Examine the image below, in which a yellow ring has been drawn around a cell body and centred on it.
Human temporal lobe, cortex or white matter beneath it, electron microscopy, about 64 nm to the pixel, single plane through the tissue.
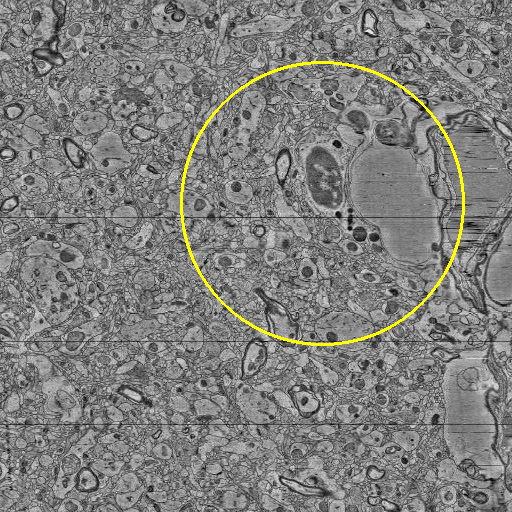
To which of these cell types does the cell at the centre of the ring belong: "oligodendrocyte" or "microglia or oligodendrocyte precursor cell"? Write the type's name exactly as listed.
microglia or oligodendrocyte precursor cell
